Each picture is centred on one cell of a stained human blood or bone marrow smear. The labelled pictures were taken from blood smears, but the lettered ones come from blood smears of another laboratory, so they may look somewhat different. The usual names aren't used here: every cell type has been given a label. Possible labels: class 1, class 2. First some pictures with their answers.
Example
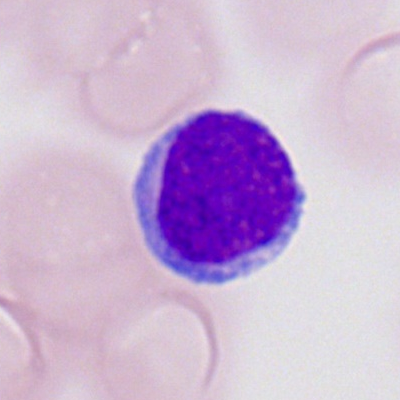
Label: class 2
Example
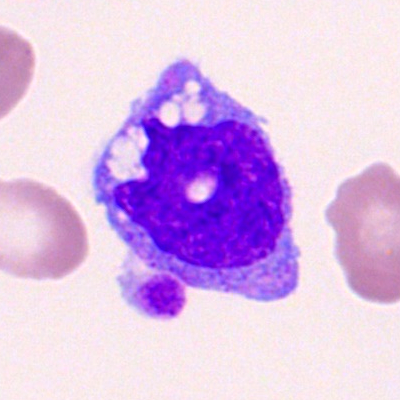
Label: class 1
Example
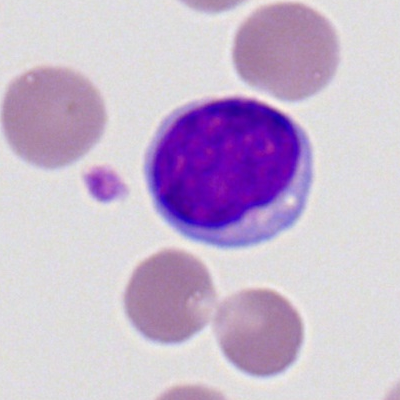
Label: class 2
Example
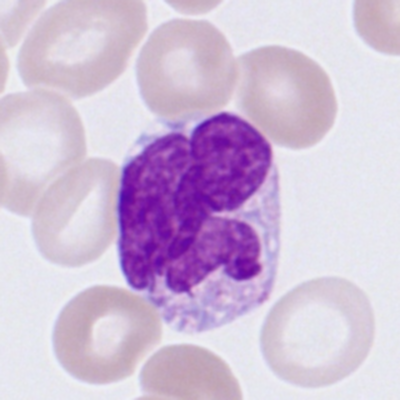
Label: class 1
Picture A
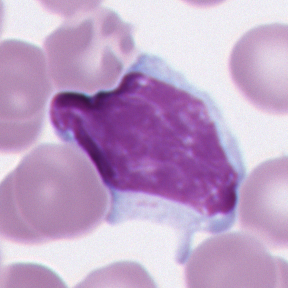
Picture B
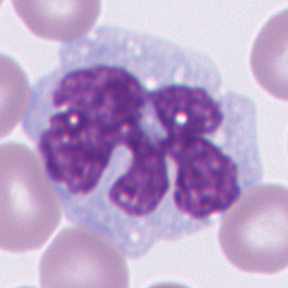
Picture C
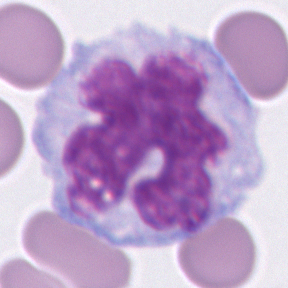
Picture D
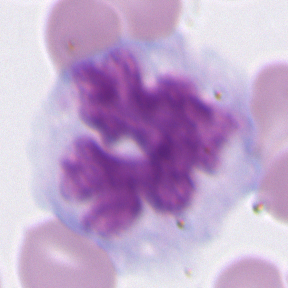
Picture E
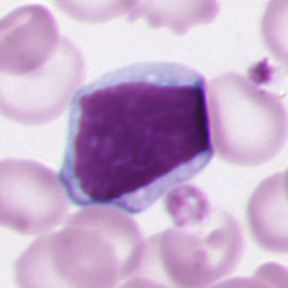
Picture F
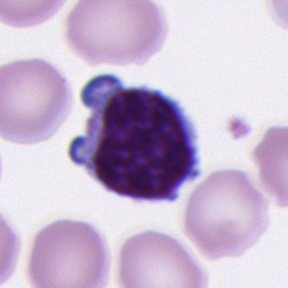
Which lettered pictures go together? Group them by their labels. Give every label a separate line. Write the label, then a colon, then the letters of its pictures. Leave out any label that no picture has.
class 1: B, C, D
class 2: A, E, F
